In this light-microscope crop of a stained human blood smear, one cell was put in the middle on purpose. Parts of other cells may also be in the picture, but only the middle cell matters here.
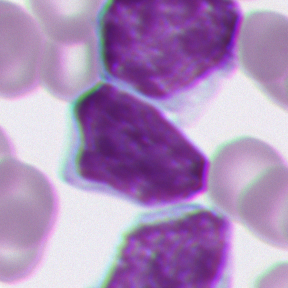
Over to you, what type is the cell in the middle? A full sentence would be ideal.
The identification for the central cell is a typical lymphocyte.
